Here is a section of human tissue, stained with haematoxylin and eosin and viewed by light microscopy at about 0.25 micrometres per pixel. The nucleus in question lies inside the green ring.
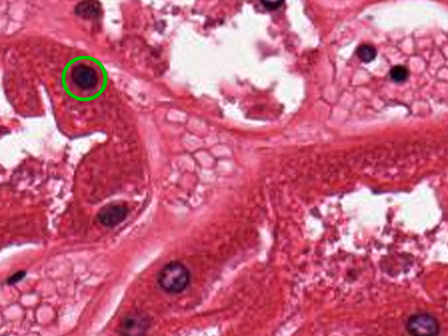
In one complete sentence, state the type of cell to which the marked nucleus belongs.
The nucleus marked in this picture belongs to a proximal tubule cell.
